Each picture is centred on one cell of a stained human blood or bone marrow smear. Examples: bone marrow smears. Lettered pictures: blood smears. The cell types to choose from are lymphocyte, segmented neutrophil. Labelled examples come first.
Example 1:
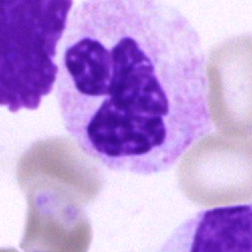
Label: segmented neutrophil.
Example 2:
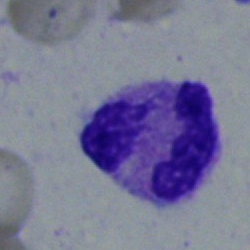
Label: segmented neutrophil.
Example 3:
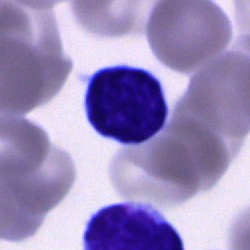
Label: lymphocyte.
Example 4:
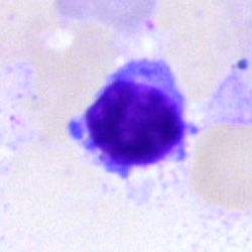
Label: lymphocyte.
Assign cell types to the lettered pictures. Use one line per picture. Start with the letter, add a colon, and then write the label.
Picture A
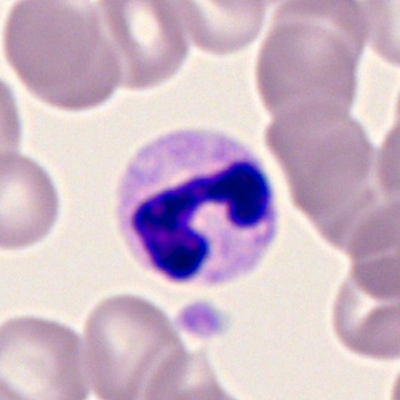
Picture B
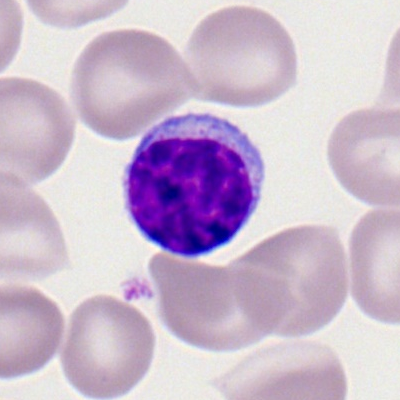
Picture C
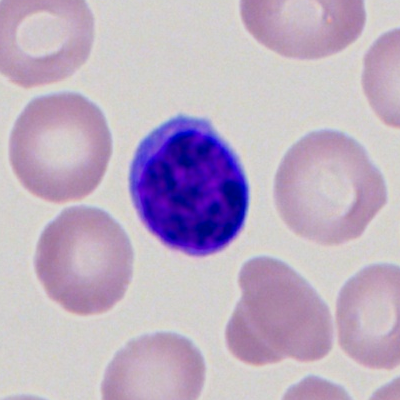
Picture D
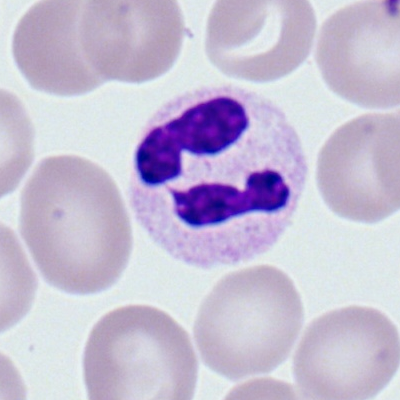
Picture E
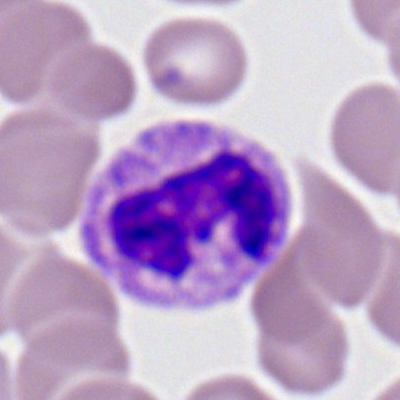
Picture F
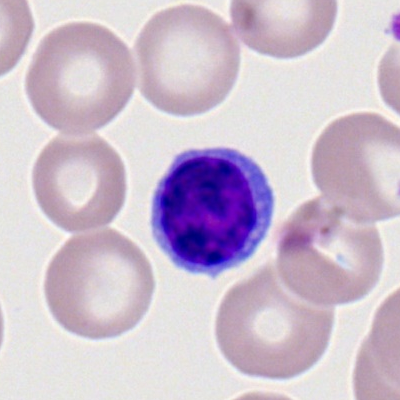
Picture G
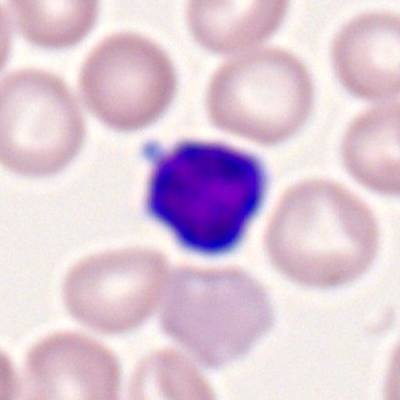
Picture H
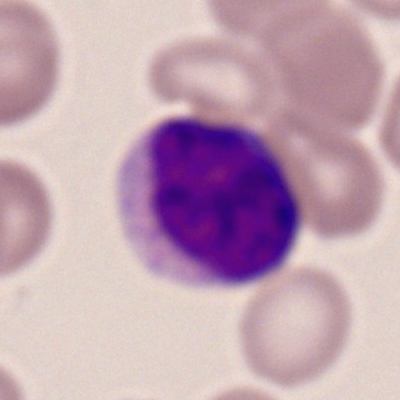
A: segmented neutrophil.
B: lymphocyte.
C: lymphocyte.
D: segmented neutrophil.
E: segmented neutrophil.
F: lymphocyte.
G: lymphocyte.
H: lymphocyte.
